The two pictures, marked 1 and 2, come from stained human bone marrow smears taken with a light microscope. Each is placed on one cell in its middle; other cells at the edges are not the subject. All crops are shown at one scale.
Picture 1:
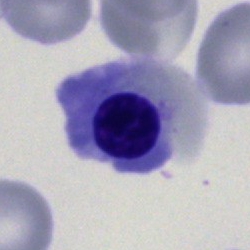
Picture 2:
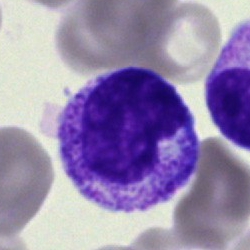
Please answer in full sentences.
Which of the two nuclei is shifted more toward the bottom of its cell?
It is the nucleus in picture 1 that lies further toward the bottom of its cell.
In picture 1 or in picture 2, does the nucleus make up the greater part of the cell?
It is the cell in picture 2 that is filled more by its nucleus.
